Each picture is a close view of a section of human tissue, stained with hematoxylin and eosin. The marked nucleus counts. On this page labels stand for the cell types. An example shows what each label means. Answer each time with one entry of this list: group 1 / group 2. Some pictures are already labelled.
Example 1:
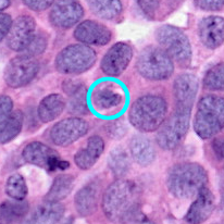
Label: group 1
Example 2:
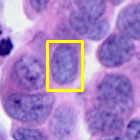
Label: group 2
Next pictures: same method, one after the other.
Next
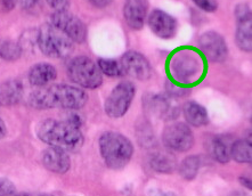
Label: group 2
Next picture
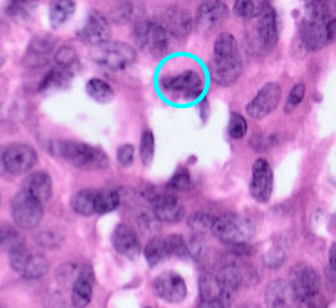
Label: group 1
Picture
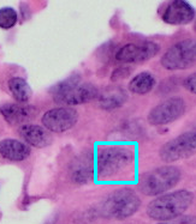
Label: group 2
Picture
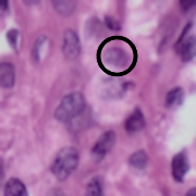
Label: group 1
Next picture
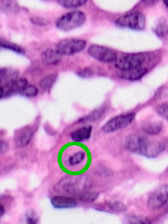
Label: group 1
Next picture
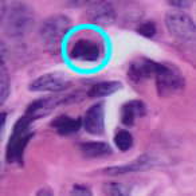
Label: group 2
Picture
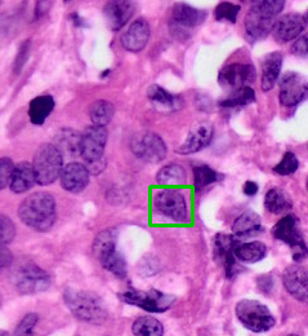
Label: group 2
